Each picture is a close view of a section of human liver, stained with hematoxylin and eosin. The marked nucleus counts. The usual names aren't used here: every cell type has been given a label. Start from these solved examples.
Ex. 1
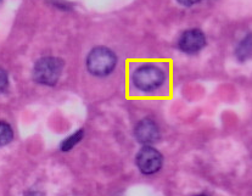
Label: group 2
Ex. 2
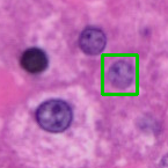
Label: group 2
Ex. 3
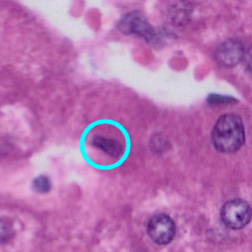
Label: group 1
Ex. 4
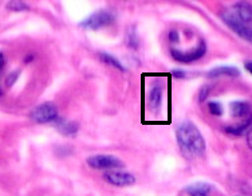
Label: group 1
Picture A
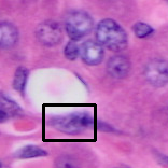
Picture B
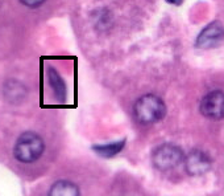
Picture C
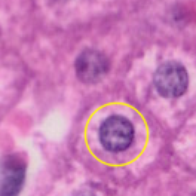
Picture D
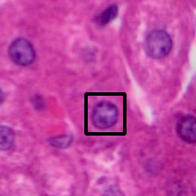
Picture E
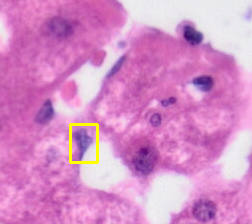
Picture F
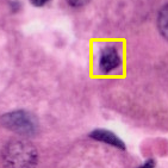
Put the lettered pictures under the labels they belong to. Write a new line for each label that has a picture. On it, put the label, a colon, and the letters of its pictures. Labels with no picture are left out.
group 2: C, D
group 1: A, B, E, F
